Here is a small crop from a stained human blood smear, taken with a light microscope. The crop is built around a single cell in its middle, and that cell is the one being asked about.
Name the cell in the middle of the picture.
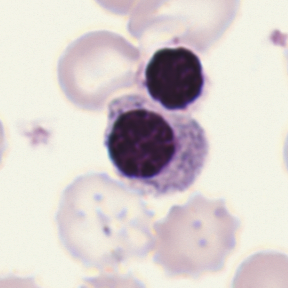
erythroblast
